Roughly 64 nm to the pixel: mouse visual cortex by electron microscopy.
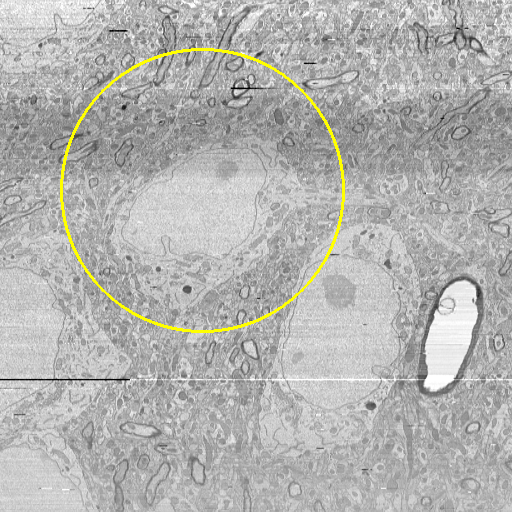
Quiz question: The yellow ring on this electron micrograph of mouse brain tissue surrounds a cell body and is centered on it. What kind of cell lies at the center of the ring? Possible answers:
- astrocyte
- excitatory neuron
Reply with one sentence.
The ring's center lies on an excitatory neuron.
